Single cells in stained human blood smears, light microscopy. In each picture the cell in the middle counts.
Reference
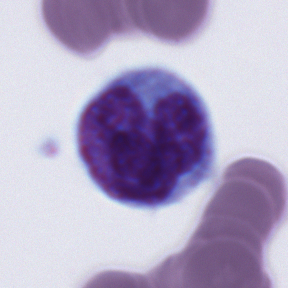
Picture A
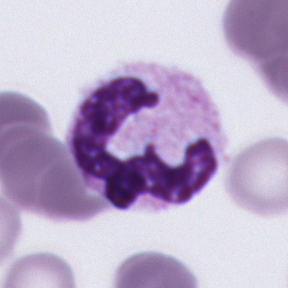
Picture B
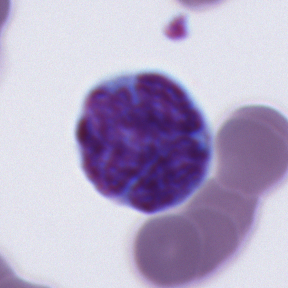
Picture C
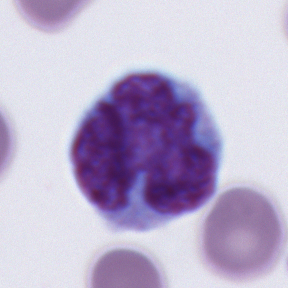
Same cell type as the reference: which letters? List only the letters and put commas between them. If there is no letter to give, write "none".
B, C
